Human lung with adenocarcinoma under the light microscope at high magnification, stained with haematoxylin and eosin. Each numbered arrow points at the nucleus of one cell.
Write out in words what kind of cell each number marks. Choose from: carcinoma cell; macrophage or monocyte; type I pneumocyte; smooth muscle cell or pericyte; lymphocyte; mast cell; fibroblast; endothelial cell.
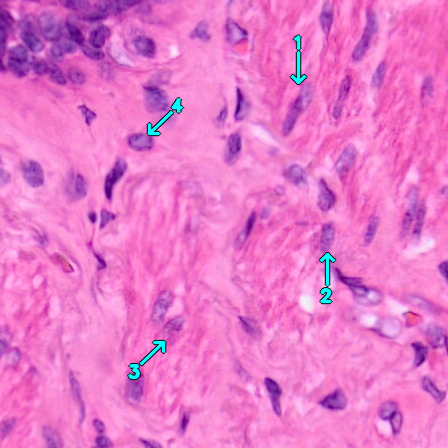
Cell 1 is a smooth muscle cell or pericyte, cell 2 is a smooth muscle cell or pericyte, cell 3 is a smooth muscle cell or pericyte and cell 4 is a mast cell.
